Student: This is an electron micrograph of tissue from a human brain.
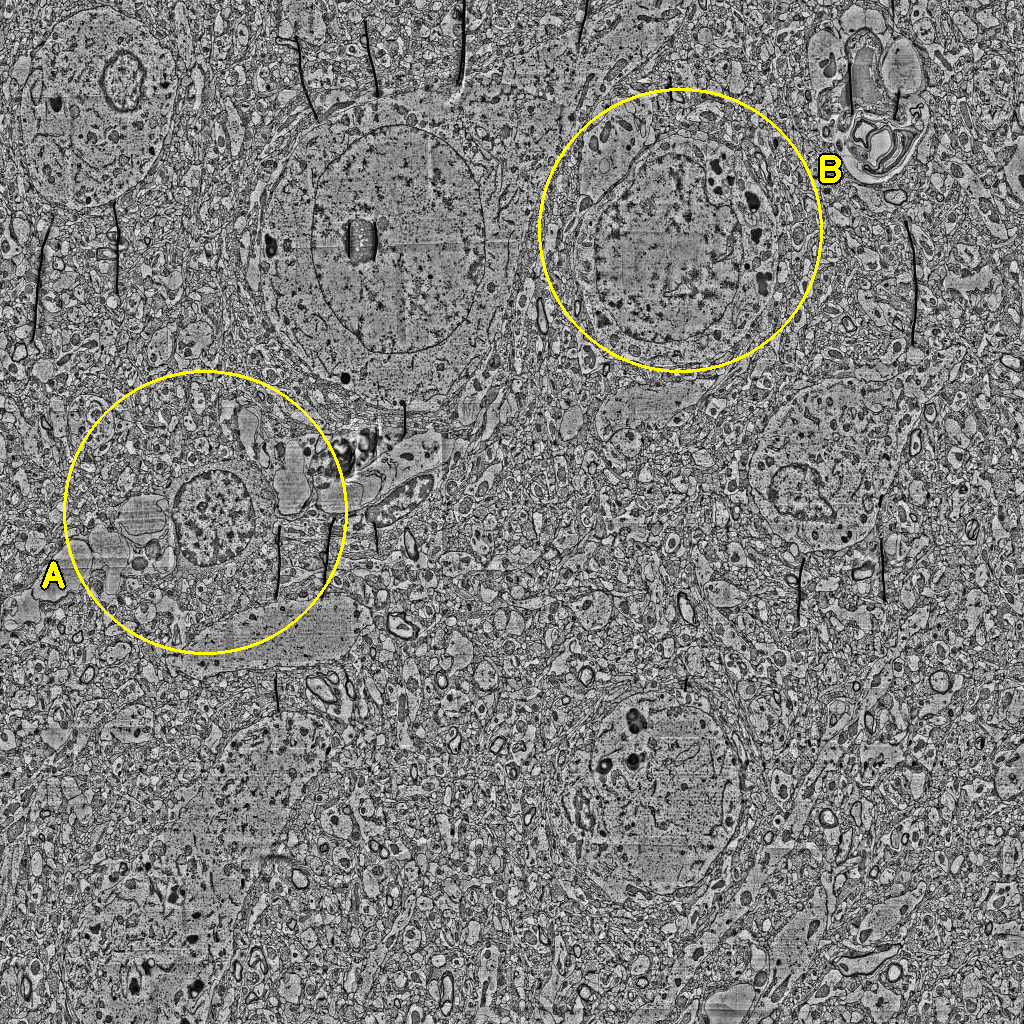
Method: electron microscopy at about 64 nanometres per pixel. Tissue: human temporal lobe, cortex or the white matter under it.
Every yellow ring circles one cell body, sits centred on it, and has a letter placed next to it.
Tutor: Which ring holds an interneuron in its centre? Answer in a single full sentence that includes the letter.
Ring B is the ring whose centre holds the cell asked for in the picture.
